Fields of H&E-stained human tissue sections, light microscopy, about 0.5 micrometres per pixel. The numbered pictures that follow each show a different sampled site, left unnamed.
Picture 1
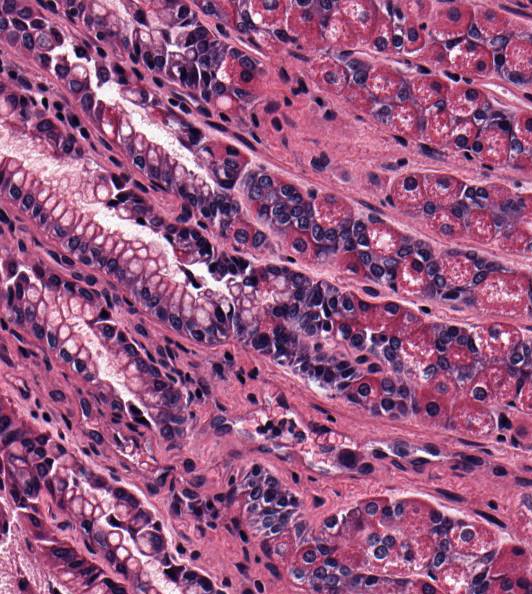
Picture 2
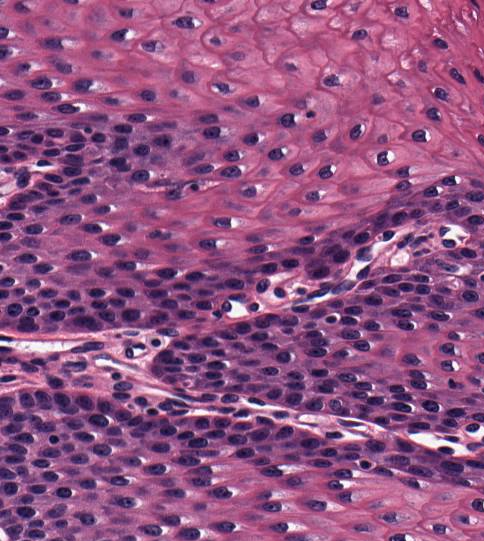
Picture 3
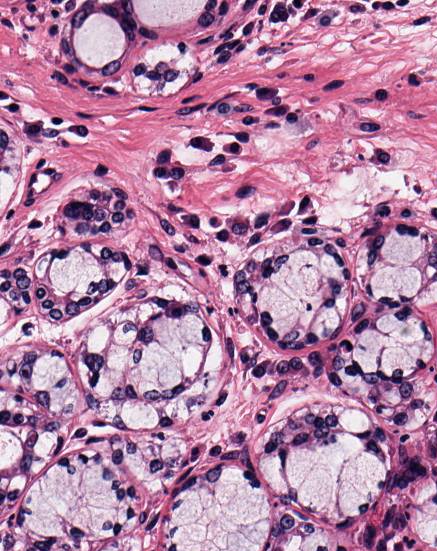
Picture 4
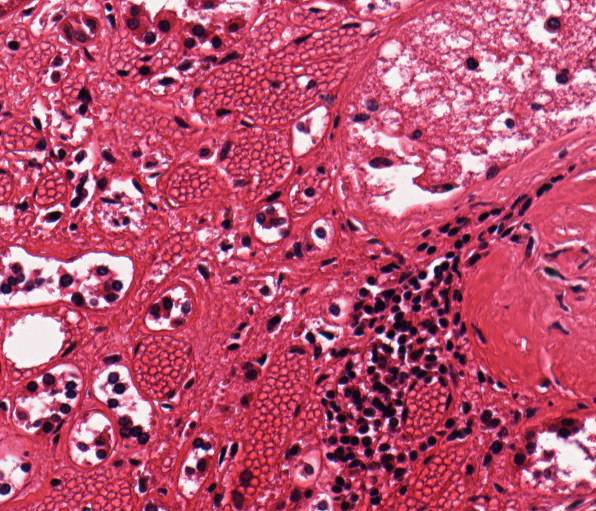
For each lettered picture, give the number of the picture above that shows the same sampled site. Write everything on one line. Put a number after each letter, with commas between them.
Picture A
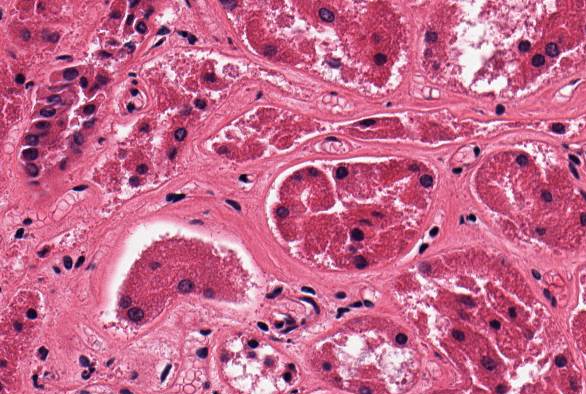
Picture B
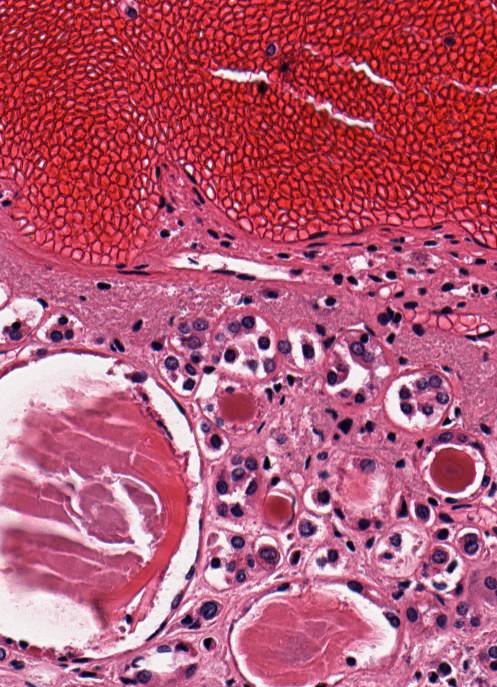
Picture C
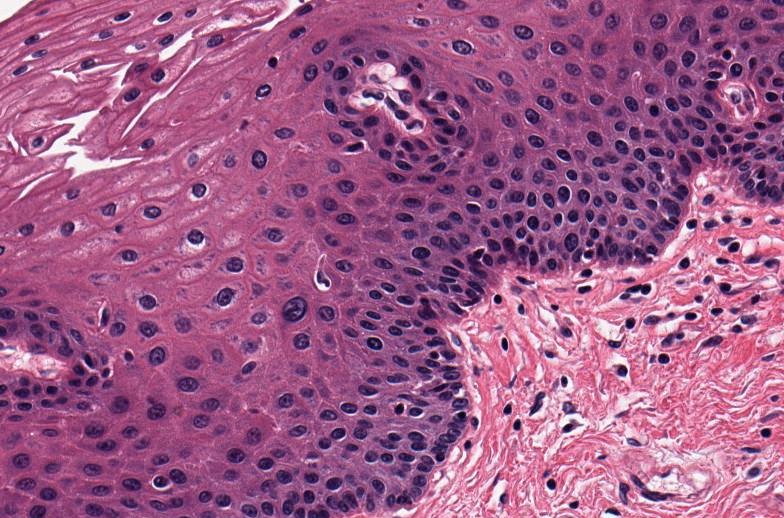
A 4, B 4, C 2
